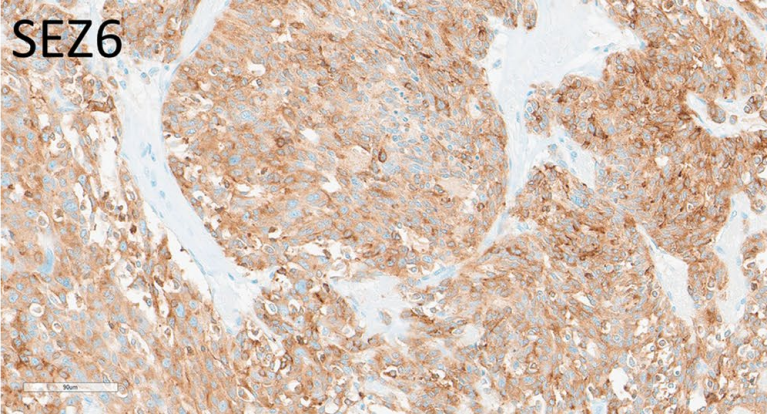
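Tumor cells of a carcinoma form large crowded nests and sheets divided by pale blue fibrous stroma. Most tumor cells show brown staining of the cytoplasm and cell membranes, somewhat lighter and more even than a dense stain. The cells are polygonal to spindle-shaped, closely packed, with blue round to oval nuclei. The stroma and the clear spaces between nests are unstained.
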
